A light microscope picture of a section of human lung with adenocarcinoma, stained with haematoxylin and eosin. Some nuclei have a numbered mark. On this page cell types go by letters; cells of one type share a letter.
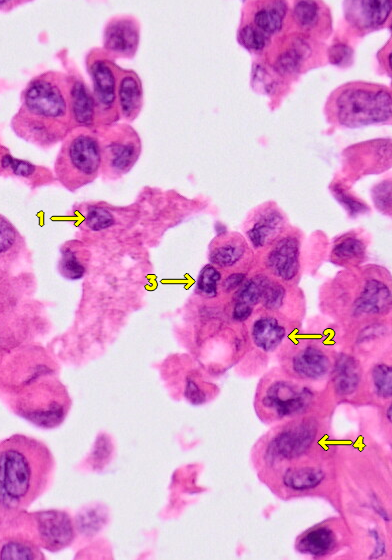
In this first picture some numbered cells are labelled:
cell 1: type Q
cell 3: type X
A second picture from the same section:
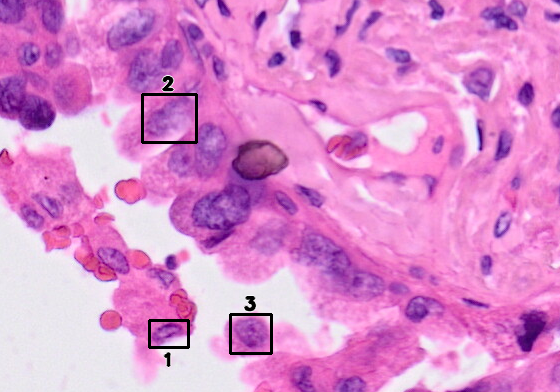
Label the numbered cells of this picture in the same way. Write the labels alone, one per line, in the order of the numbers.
type Q
type X
type X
